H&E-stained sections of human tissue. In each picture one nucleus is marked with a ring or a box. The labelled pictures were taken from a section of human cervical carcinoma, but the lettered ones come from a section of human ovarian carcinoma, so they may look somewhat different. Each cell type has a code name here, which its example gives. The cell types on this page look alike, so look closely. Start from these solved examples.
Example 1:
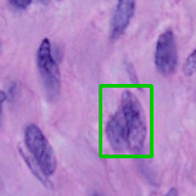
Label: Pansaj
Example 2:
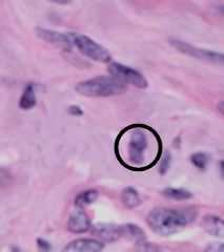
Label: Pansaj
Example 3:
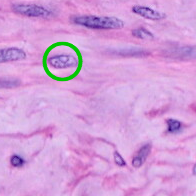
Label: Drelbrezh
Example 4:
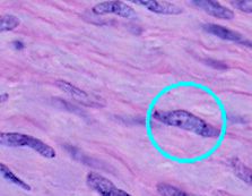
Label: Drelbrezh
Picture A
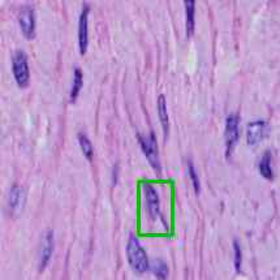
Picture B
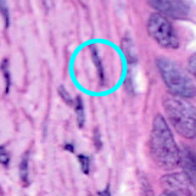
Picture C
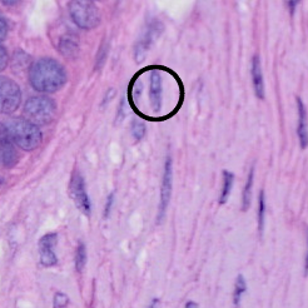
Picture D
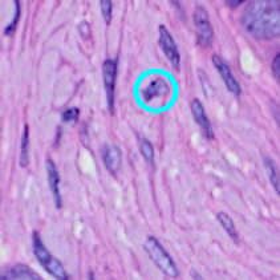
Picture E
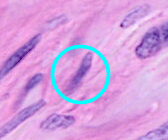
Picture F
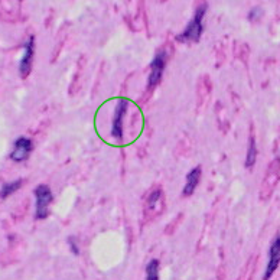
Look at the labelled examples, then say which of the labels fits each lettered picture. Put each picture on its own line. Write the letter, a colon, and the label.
A: Pansaj
B: Pansaj
C: Pansaj
D: Pansaj
E: Drelbrezh
F: Pansaj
